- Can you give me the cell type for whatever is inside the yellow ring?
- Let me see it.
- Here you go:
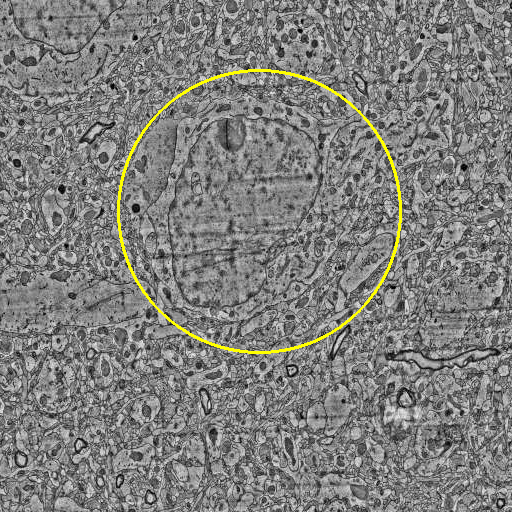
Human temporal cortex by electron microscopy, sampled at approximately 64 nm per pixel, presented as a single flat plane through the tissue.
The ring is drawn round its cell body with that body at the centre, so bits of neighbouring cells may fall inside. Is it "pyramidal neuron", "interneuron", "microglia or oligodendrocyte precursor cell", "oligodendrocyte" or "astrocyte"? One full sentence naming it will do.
The cell body in the middle of the ring in this picture belongs to an interneuron.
